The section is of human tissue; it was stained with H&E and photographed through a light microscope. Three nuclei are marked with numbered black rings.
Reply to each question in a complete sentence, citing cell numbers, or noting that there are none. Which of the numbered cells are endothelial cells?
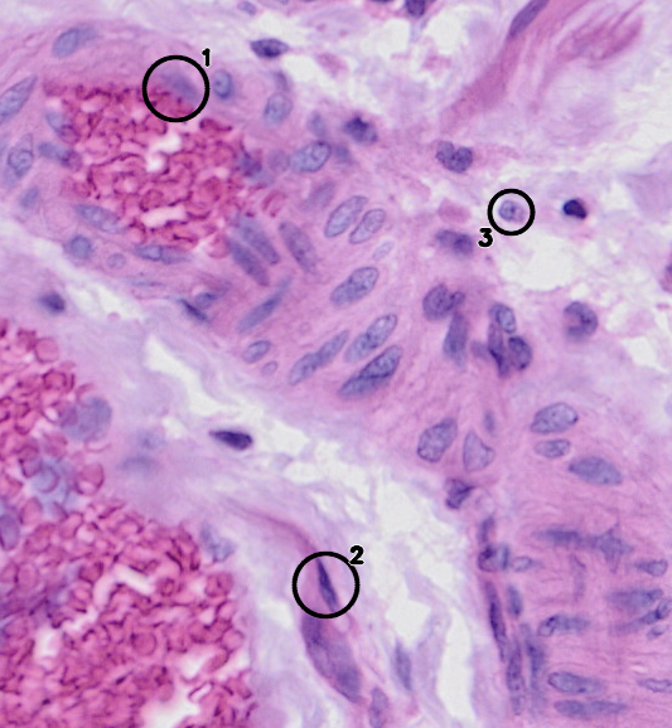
Cell 1 is an endothelial cell, whereas each of the other numbered cells is not.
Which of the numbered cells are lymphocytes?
Of the cells carrying numbers, just cell 3 is a lymphocyte.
